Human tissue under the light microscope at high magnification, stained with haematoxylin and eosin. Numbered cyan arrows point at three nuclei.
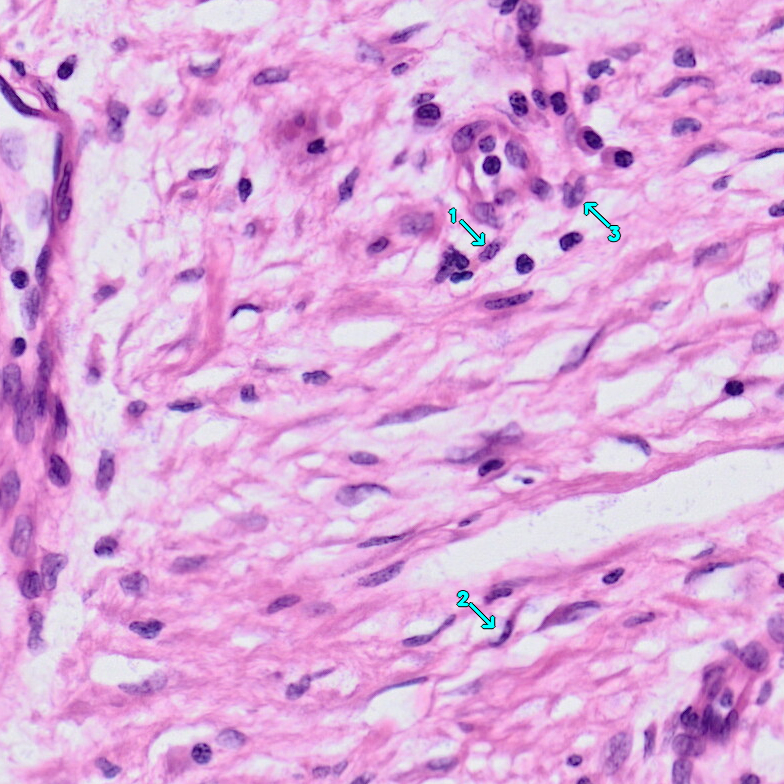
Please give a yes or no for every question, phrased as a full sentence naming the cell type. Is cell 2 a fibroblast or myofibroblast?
Yes, the cell marked with number 2 is a fibroblast or myofibroblast.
